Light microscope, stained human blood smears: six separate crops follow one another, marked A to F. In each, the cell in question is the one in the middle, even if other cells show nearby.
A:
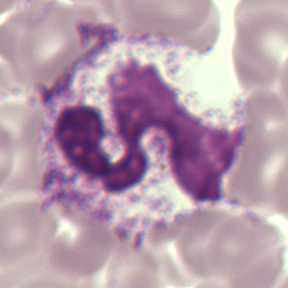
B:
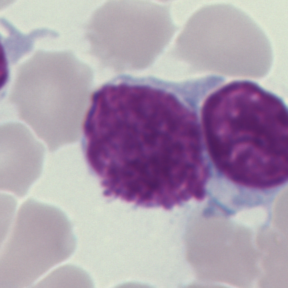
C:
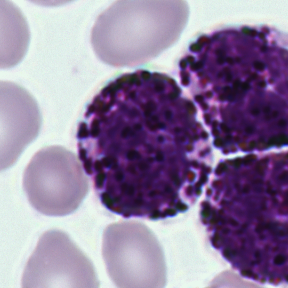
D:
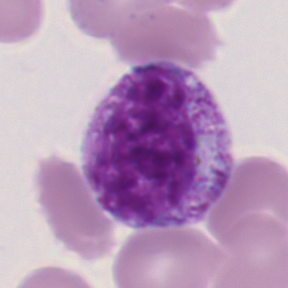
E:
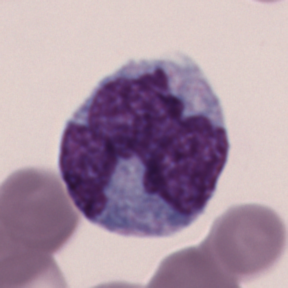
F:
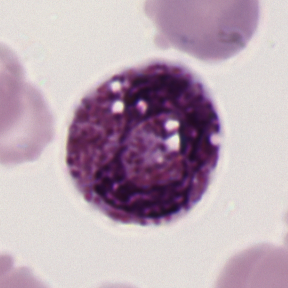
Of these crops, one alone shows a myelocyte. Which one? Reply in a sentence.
The crop marked D is the one in which a myelocyte is shown.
